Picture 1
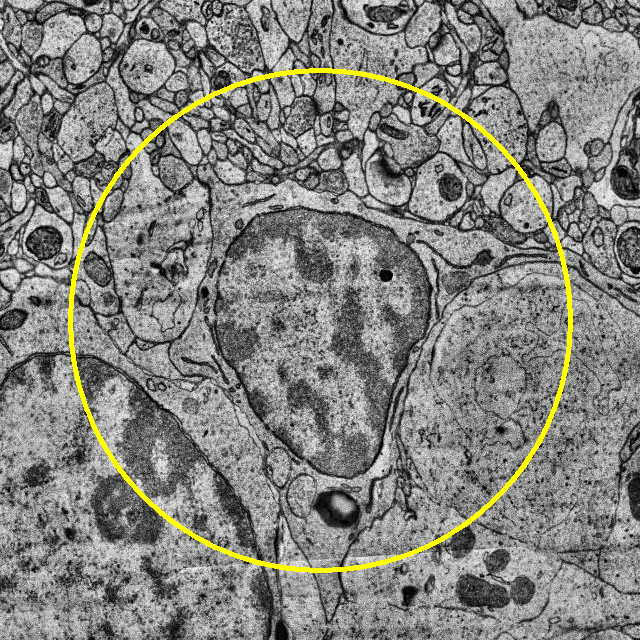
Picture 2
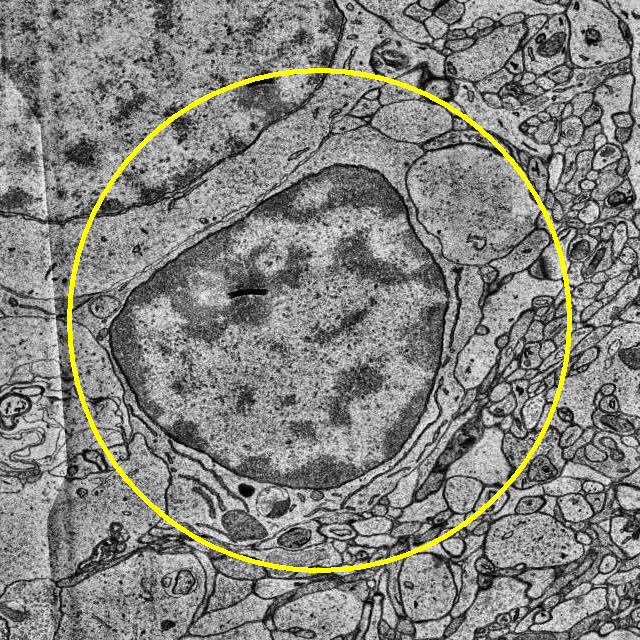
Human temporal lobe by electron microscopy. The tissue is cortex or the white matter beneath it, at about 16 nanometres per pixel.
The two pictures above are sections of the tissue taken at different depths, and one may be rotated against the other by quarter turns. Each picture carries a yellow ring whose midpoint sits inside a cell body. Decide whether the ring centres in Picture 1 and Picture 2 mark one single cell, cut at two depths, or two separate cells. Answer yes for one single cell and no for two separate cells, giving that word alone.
yes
